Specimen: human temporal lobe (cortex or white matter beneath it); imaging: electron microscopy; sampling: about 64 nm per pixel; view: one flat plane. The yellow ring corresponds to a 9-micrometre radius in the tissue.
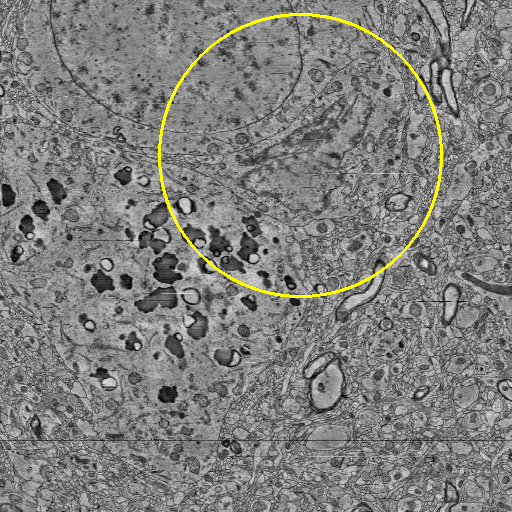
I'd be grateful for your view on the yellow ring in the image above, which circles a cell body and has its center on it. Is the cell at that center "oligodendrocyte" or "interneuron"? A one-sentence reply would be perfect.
The cell at the center of the yellow ring is an interneuron.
